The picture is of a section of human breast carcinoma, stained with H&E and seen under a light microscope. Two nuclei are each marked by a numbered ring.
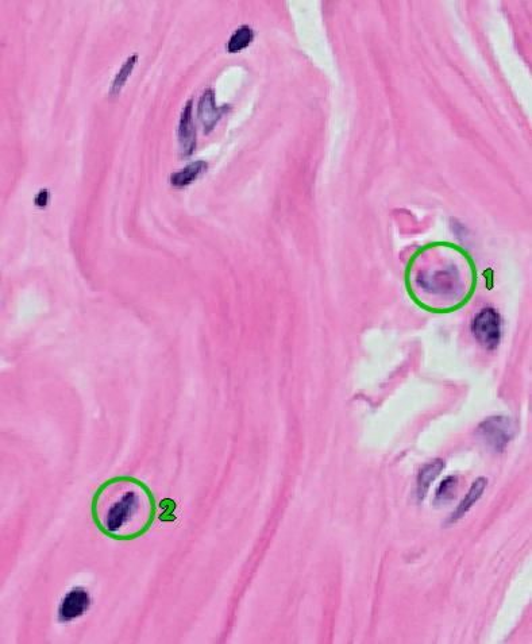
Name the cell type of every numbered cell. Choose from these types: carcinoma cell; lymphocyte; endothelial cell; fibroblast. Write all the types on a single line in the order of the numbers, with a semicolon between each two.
endothelial cell; lymphocyte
